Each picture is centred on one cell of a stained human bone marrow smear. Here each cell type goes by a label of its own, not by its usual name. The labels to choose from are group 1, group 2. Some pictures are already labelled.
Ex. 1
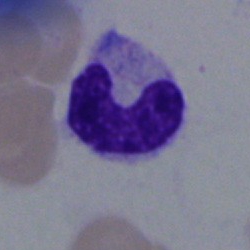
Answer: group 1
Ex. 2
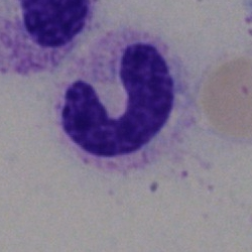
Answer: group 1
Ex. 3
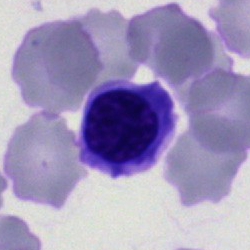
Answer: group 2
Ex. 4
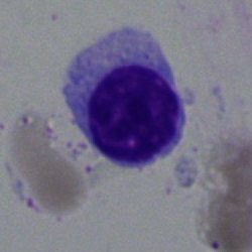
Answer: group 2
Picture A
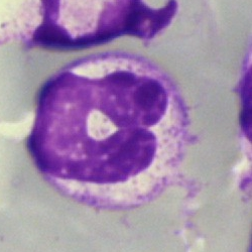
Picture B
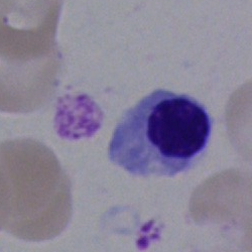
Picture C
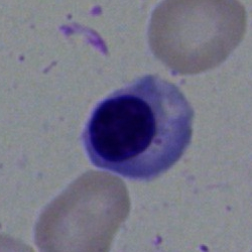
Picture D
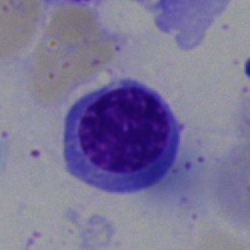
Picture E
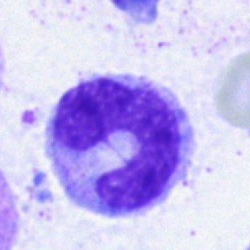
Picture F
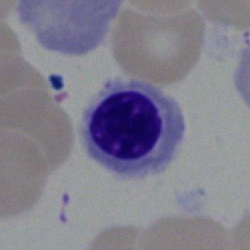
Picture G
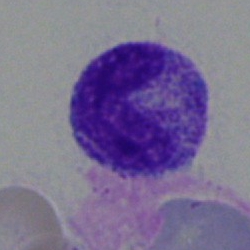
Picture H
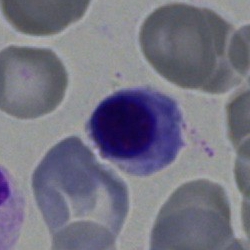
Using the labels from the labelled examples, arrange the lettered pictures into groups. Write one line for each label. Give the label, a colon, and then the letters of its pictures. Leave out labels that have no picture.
group 1: A, E, G
group 2: B, C, D, F, H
